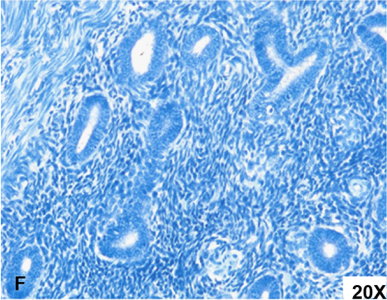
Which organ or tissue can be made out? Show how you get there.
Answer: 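Many round to oval tubular glands lined by a single layer of columnar epithelium. Glands are set in a dense, cellular stroma of small spindle-shaped cells. So: uterine endometrium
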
